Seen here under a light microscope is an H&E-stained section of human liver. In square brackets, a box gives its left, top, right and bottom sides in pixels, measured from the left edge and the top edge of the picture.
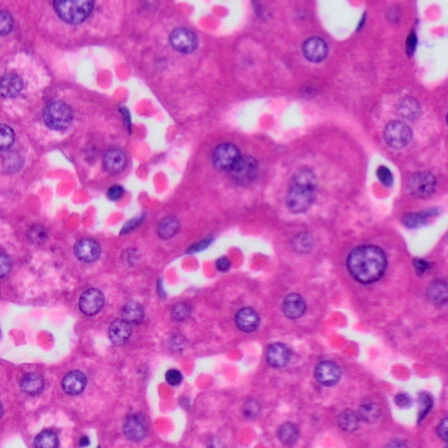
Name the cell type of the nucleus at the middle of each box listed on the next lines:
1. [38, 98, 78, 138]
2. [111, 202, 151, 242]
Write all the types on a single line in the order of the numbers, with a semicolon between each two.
hepatocyte; endothelial cell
